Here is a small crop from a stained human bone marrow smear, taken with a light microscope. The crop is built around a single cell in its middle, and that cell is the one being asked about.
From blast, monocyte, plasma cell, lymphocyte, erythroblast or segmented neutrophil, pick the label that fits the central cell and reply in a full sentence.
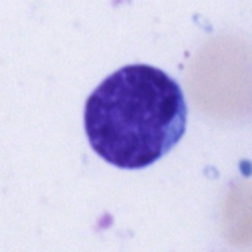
The middle position in this crop is taken by a lymphocyte.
